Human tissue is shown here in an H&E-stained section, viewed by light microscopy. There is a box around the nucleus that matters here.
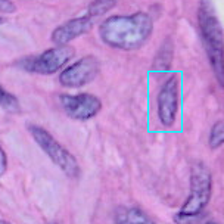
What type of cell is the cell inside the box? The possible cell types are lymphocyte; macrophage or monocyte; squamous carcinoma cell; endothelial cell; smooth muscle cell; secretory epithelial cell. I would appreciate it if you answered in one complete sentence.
Recorded by type, the cell inside the box is a smooth muscle cell.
